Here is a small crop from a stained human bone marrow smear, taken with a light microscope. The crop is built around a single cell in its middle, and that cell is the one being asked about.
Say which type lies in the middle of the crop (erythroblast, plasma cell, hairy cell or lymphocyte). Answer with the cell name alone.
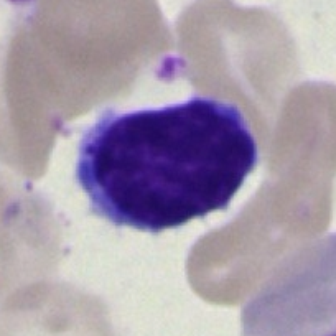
lymphocyte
